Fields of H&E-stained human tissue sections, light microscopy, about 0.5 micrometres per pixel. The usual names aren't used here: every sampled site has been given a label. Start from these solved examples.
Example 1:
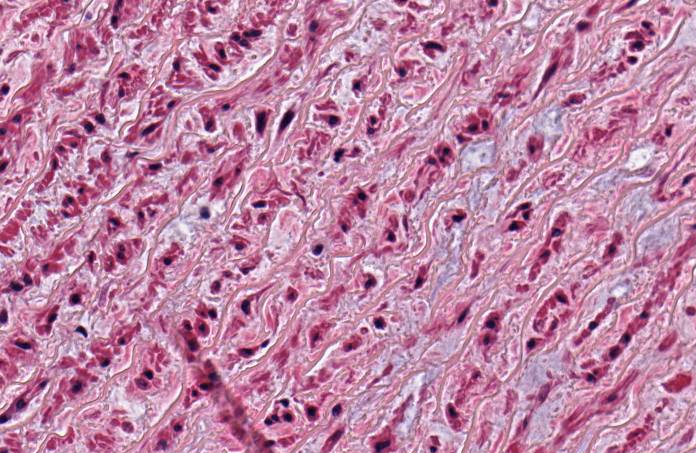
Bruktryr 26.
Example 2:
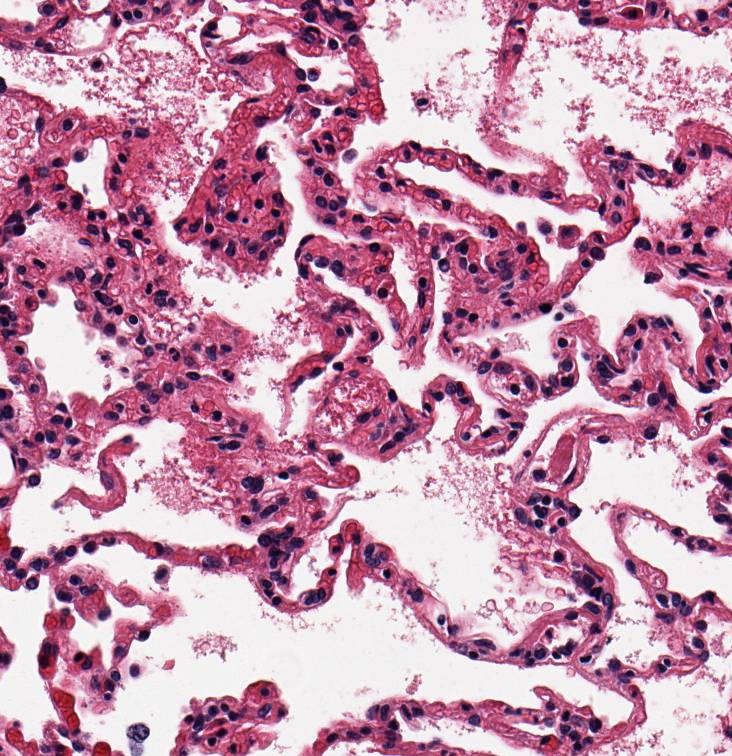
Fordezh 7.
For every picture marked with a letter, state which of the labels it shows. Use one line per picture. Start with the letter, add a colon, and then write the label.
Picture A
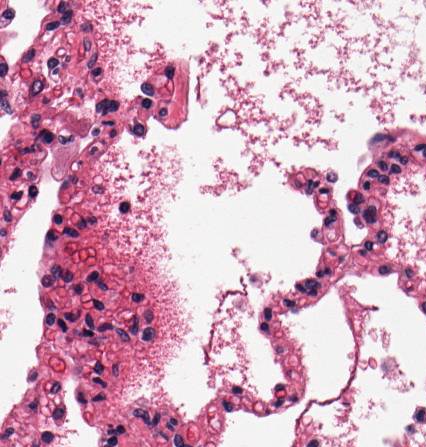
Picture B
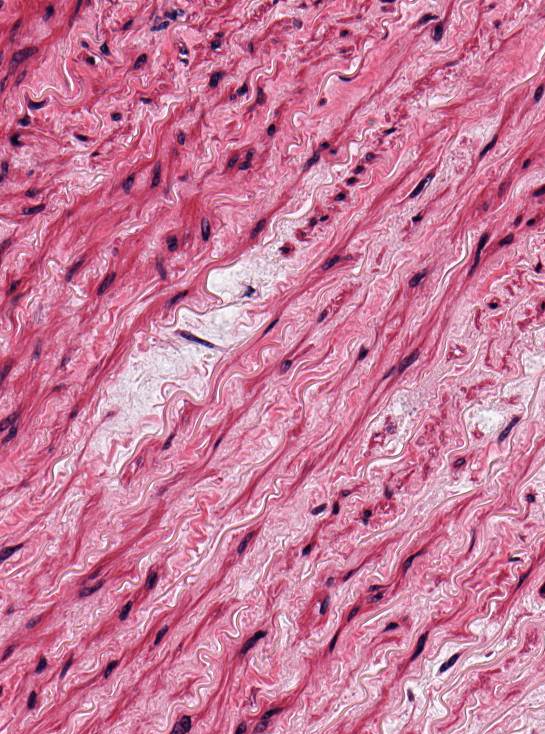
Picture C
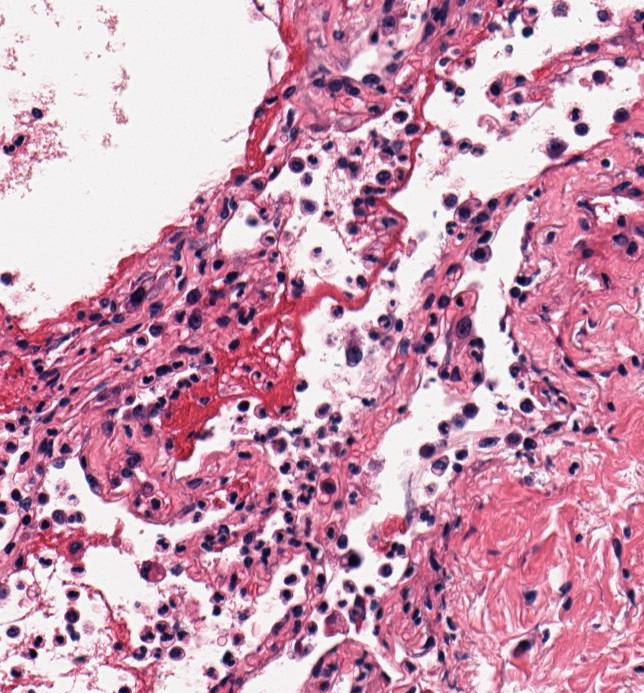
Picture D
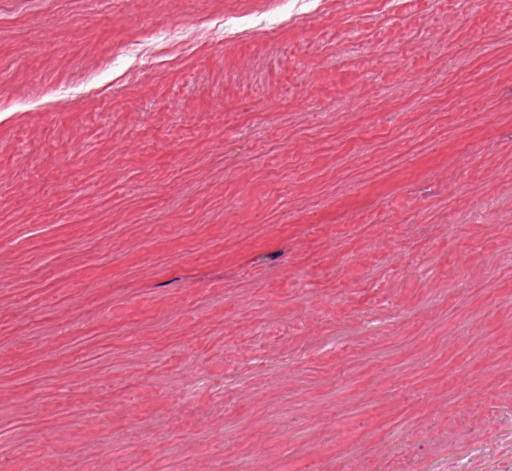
A: Fordezh 7.
B: Bruktryr 26.
C: Fordezh 7.
D: Bruktryr 26.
